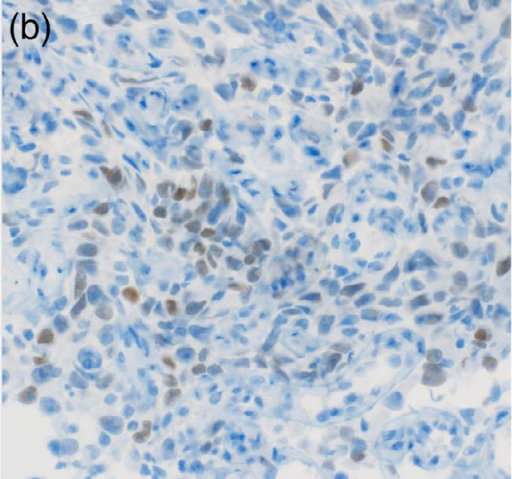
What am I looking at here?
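This is a tumour with densely packed, irregular cells, most of whose nuclei are counterstained blue. Scattered among them, a portion of the tumour cell nuclei are stained brown. The nuclei are enlarged, oval to angular and vary in size, while the cytoplasm is pale and hard to make out.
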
